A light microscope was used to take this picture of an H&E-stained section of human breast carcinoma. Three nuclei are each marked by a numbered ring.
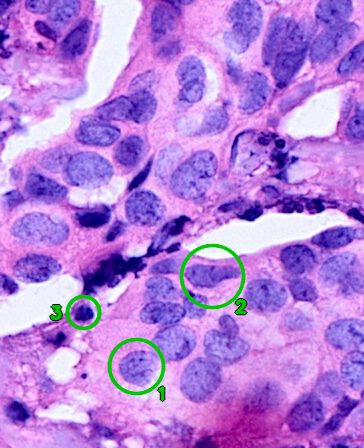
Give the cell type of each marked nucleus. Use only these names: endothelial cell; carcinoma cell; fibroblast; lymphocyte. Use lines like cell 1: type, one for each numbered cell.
cell 1: carcinoma cell
cell 2: carcinoma cell
cell 3: lymphocyte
